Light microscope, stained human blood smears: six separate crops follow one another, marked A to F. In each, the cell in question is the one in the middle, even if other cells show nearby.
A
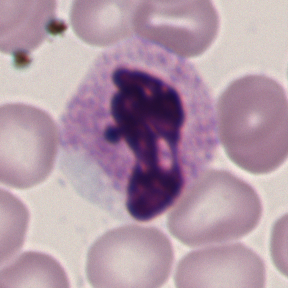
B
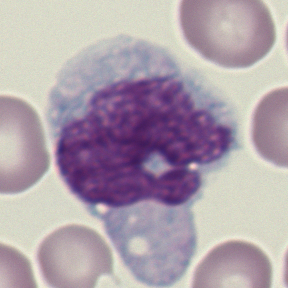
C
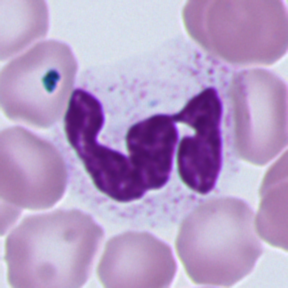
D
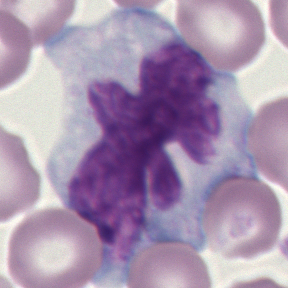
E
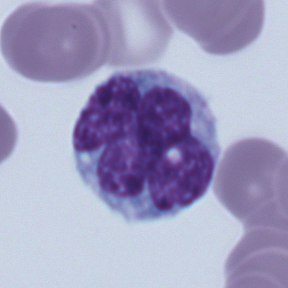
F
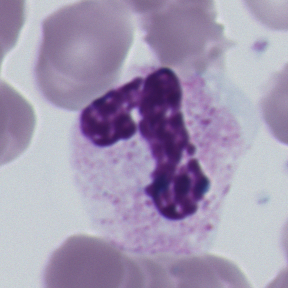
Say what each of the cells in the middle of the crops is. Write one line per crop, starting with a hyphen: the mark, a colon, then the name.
- A: segmented neutrophil
- B: monocyte
- C: segmented neutrophil
- D: monocyte
- E: monocyte
- F: segmented neutrophil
